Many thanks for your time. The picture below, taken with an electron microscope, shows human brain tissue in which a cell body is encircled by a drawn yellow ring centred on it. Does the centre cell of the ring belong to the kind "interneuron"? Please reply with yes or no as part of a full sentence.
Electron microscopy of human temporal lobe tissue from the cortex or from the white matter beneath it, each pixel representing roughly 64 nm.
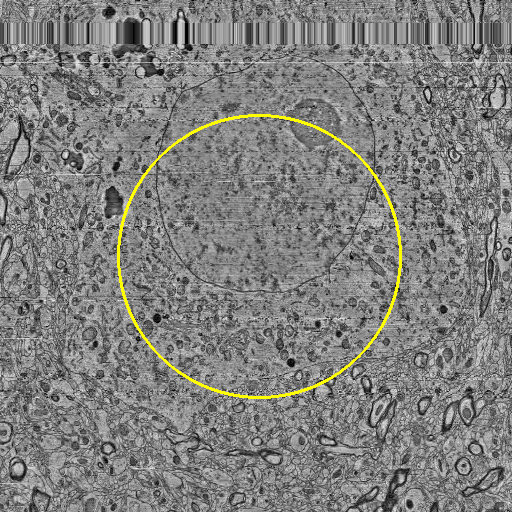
No, in the picture the cell at the ring's centre is of some different kind.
